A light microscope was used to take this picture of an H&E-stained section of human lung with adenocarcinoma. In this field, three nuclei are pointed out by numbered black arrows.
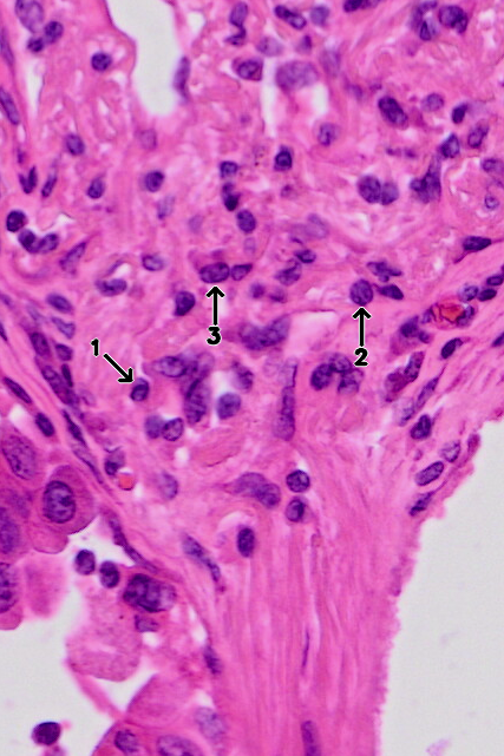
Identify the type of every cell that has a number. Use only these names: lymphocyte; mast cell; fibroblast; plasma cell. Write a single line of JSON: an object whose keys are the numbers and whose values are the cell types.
{"1": "lymphocyte", "2": "lymphocyte", "3": "plasma cell"}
